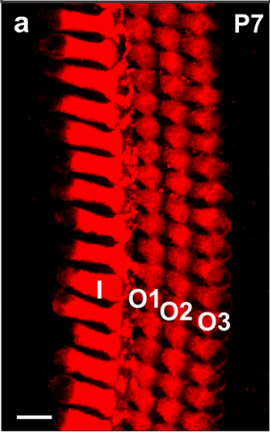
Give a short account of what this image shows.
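This shows sensory hair cells of the inner ear, filled with red label, seen from above in a flat mount. On the left a single continuous row of inner hair cells stands out. These cells are elongated, brightly stained and packed side by side like a picket fence. To their right lie three parallel rows of outer hair cells. These are smaller and rounder, more faintly and evenly stained, and set in a regular staggered pattern.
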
